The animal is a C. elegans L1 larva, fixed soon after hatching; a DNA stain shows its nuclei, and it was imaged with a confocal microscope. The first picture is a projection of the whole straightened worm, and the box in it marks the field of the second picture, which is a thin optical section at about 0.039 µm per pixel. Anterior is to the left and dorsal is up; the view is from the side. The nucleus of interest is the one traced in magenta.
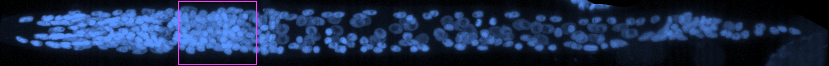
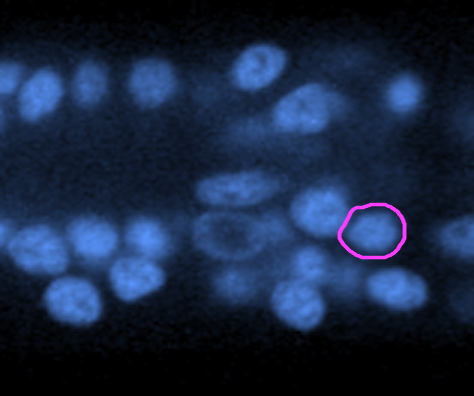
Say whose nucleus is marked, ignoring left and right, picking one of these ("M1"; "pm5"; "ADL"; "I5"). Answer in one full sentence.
The cell whose nucleus is marked is I5, a neuron.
